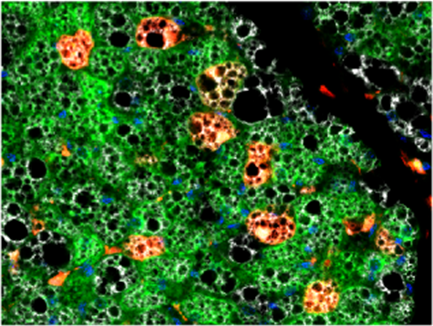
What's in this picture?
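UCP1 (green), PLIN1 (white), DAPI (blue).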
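Fat tissue dominated by multilocular adipocytes whose cytoplasm stains green around many small round lipid droplets. Scattered among them are clusters of orange-red multilocular cells, each packed with small droplets. White outlines ring droplets, brightest in cells with larger droplets toward the edges, and small blue nuclei sit between the cells. A dark band of unstained space crosses the upper right corner.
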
